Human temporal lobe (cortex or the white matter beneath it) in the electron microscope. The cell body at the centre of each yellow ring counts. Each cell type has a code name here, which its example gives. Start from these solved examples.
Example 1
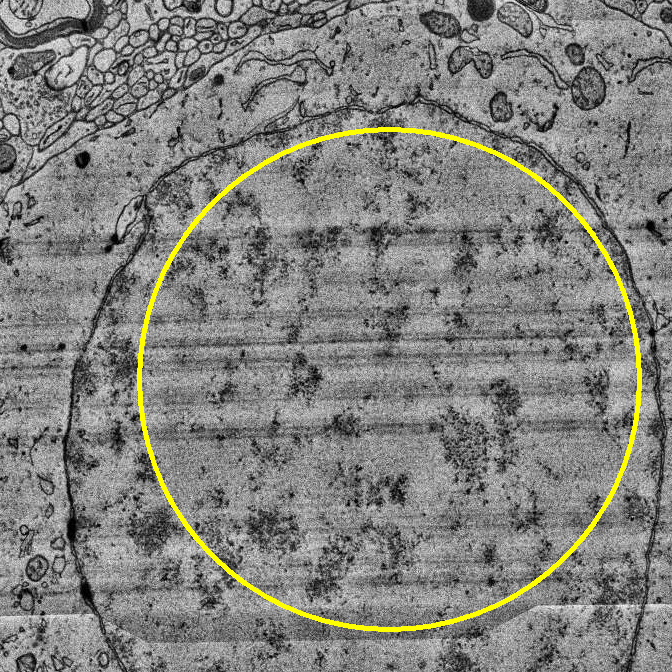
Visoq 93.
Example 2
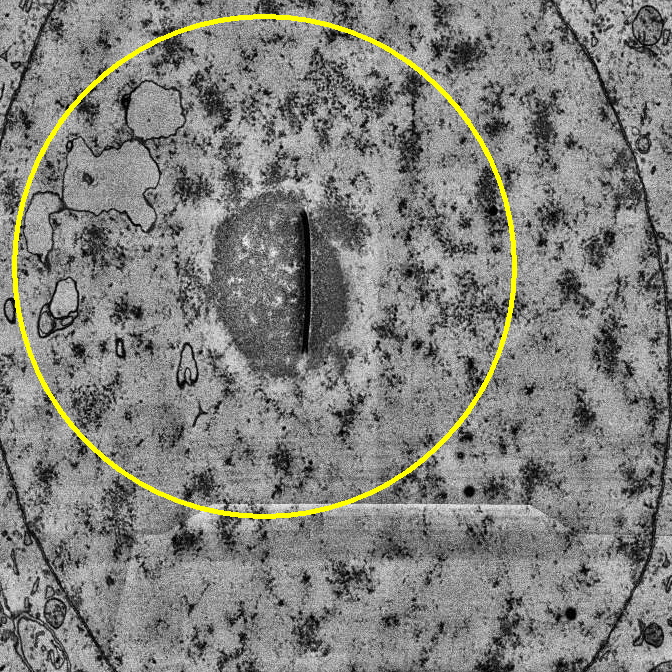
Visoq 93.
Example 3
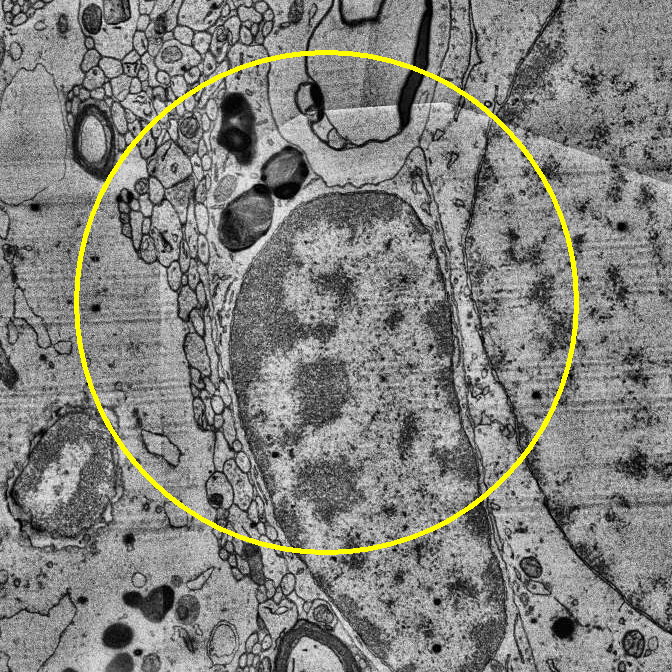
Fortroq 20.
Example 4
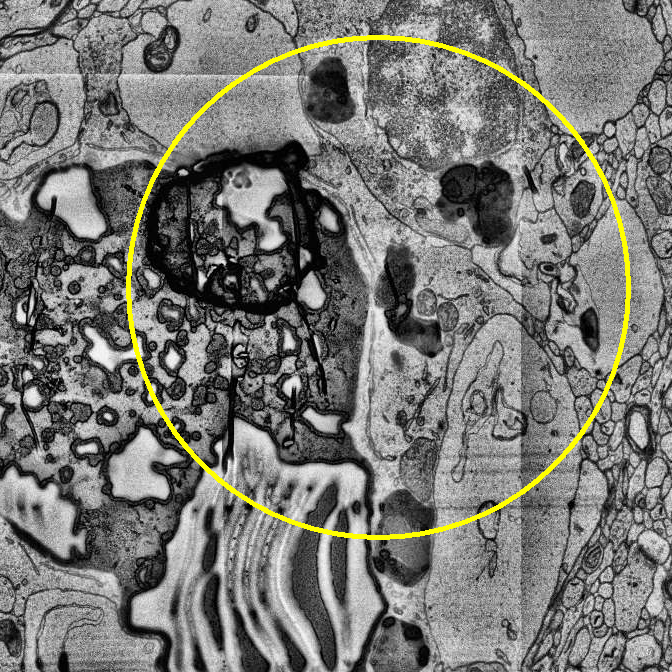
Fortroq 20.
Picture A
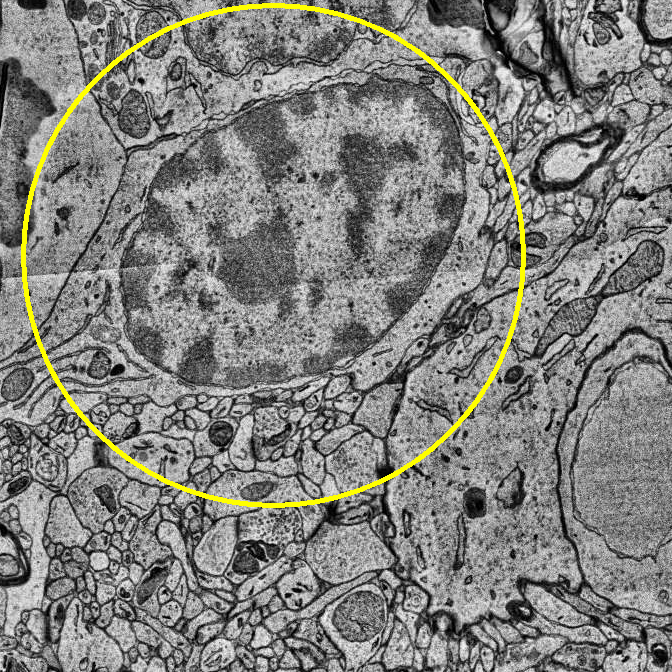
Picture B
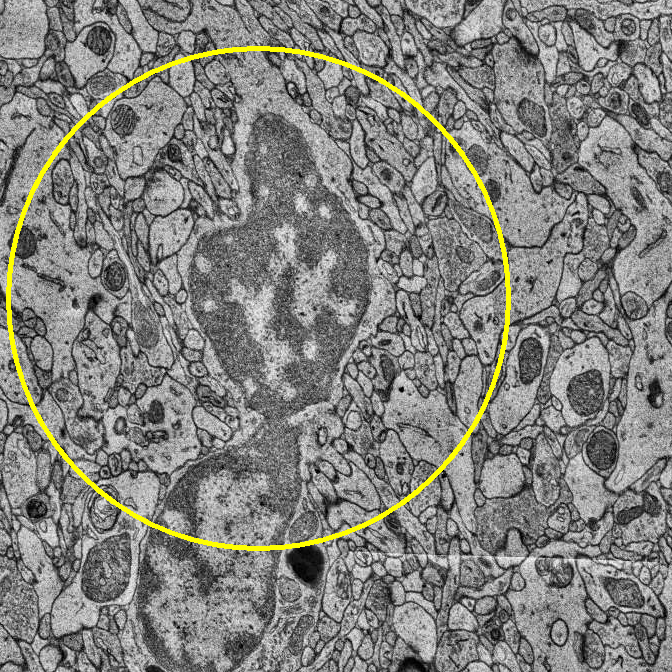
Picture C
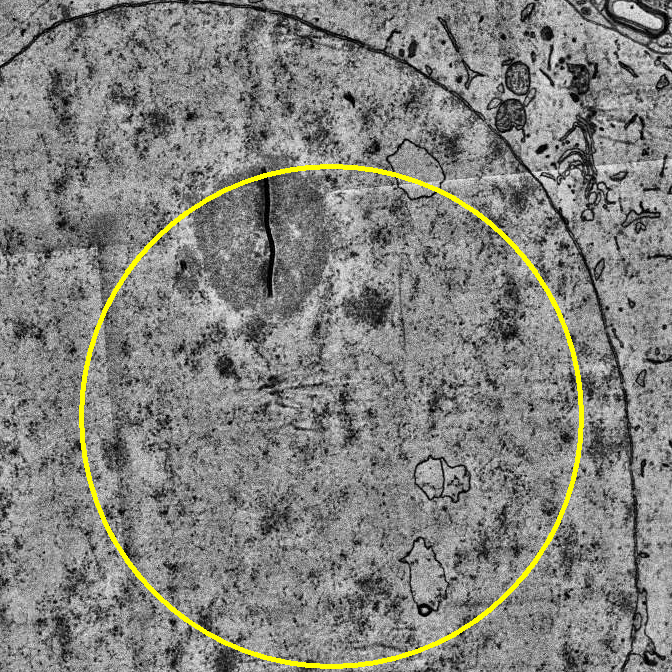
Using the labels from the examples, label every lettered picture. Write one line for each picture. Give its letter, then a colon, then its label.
A: Fortroq 20.
B: Fortroq 20.
C: Visoq 93.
